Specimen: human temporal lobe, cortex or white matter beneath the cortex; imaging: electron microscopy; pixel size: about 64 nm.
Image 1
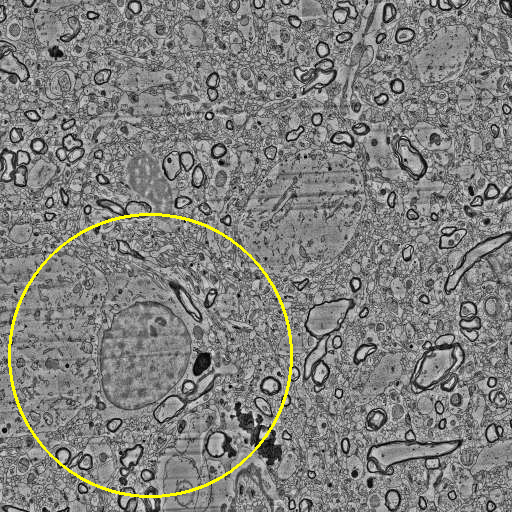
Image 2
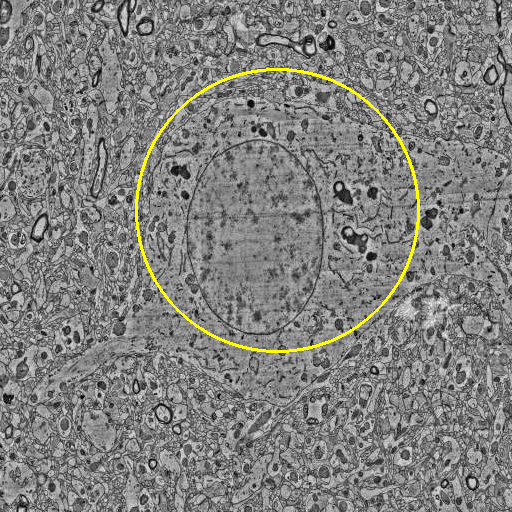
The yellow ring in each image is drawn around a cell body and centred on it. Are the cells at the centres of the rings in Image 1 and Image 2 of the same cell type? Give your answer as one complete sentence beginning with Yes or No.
No, the two cells are of two separate types.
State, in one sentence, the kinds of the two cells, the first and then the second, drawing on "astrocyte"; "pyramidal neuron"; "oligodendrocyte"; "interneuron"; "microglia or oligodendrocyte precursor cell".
The ring in the second picture is centred on a pyramidal neuron, the ring in the first on an oligodendrocyte.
